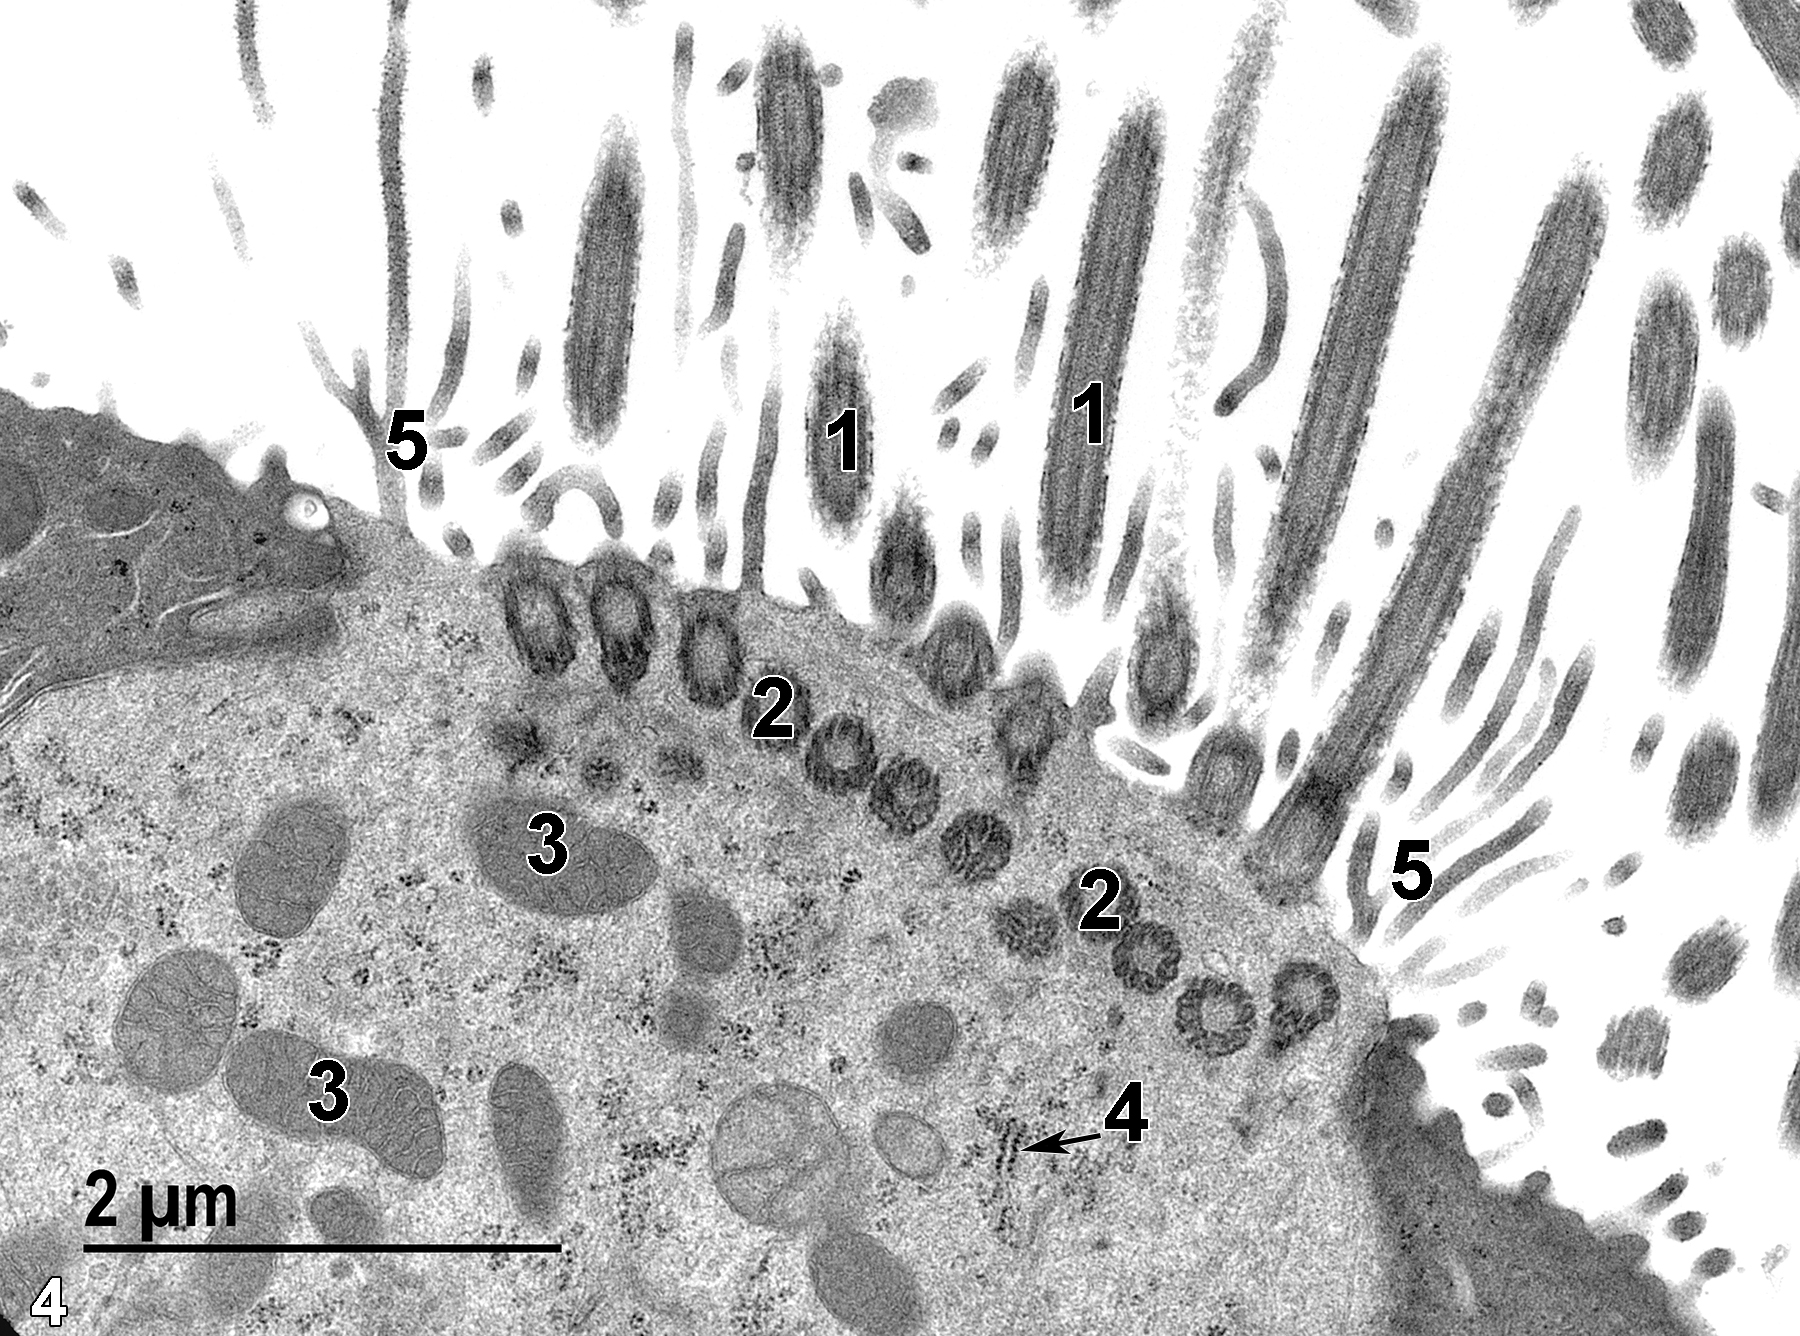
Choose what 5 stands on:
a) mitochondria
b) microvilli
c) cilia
b) microvilli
